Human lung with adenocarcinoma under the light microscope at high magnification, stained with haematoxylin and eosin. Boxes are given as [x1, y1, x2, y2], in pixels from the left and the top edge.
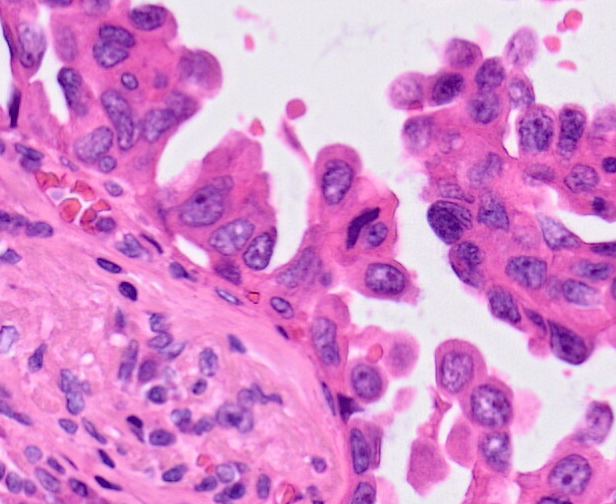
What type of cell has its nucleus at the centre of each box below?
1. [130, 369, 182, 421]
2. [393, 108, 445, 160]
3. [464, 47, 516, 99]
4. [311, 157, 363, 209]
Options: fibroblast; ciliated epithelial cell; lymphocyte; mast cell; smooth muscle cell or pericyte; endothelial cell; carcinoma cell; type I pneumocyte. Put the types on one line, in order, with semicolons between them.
lymphocyte; carcinoma cell; carcinoma cell; carcinoma cell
